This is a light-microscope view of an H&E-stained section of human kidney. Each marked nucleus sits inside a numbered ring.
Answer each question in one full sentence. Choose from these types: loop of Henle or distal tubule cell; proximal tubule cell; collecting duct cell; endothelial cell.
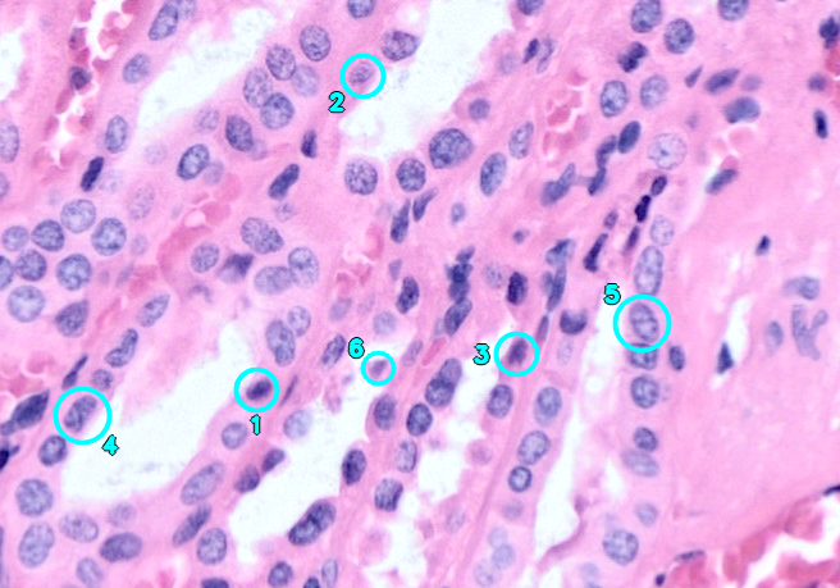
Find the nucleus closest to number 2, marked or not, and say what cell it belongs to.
It is a loop of Henle or distal tubule cell whose nucleus is nearest to number 2.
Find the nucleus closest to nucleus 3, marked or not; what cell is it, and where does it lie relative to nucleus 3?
An endothelial cell lies closest, above and to the right of nucleus 3.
